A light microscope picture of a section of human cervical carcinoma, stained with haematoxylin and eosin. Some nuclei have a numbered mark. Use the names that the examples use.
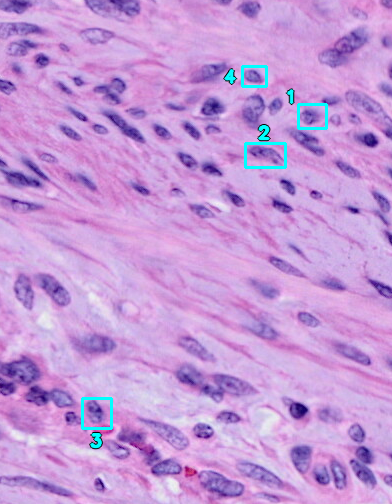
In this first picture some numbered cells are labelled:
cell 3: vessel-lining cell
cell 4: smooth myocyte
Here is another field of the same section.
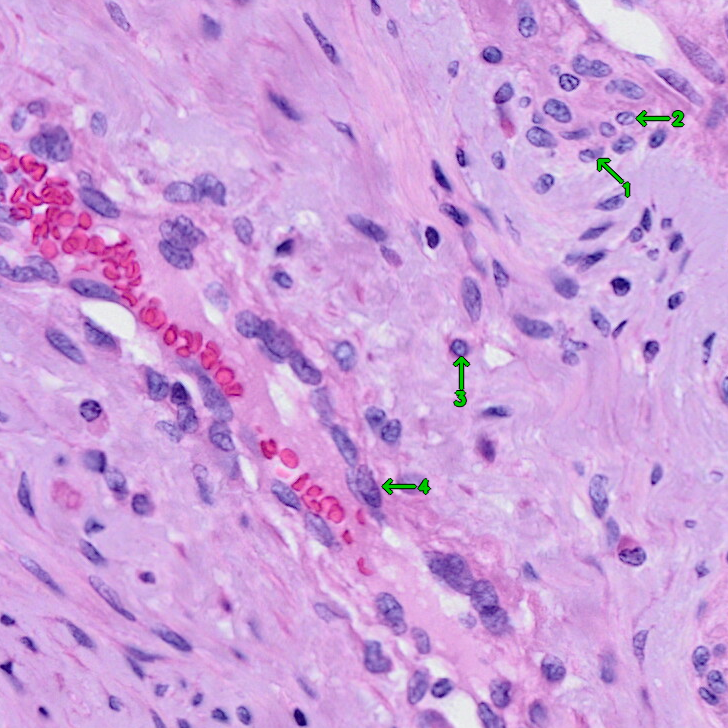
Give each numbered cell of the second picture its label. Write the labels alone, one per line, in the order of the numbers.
smooth myocyte
smooth myocyte
smooth myocyte
vessel-lining cell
